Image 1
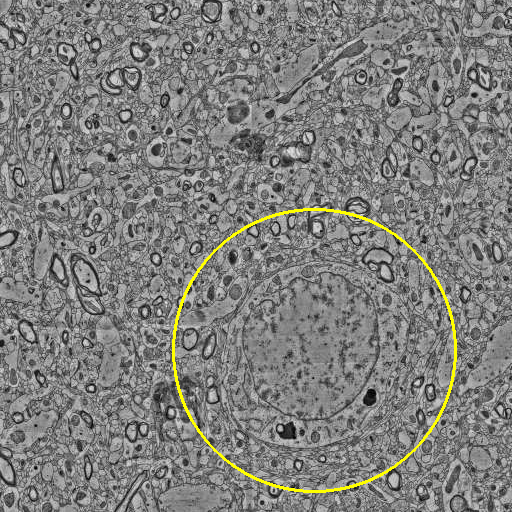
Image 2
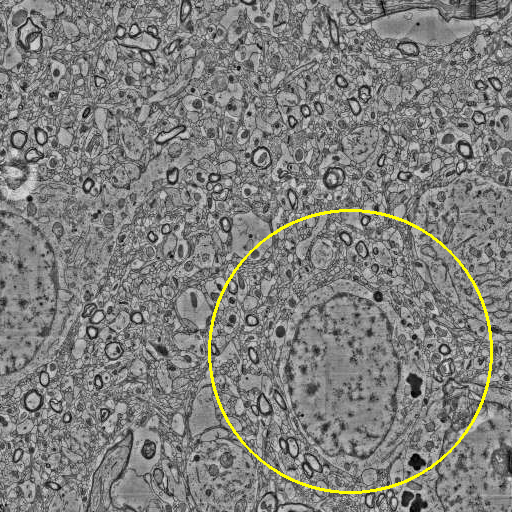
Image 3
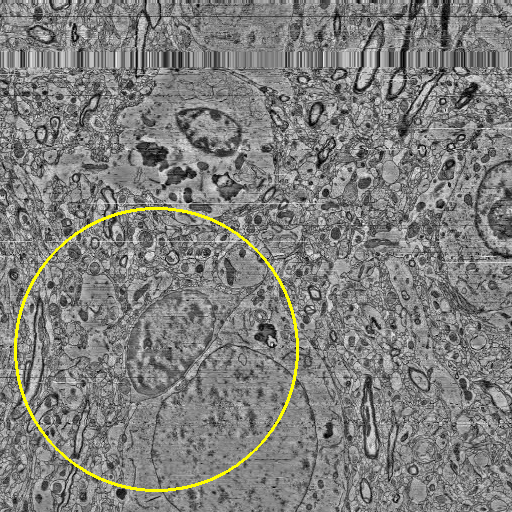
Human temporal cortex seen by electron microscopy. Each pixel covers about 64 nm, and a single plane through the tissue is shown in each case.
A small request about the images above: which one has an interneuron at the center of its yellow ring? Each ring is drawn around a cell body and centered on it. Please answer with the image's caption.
Image 2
